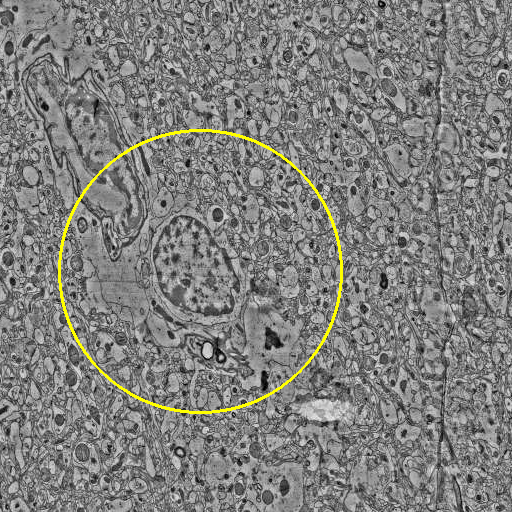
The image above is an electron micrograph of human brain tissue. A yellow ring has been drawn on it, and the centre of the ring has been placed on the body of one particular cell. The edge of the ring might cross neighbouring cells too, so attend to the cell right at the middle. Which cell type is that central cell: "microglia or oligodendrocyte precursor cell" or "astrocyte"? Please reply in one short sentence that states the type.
The central cell in the ring is a microglial cell or oligodendrocyte precursor cell.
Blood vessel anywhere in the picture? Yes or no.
Yes, a blood vessel shows in the picture.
